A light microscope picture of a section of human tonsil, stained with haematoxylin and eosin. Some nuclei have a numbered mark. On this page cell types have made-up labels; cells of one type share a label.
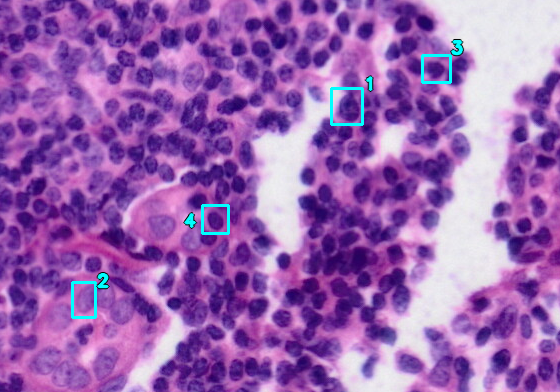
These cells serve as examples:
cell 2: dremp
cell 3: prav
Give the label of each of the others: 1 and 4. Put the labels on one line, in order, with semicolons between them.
prav; dremp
